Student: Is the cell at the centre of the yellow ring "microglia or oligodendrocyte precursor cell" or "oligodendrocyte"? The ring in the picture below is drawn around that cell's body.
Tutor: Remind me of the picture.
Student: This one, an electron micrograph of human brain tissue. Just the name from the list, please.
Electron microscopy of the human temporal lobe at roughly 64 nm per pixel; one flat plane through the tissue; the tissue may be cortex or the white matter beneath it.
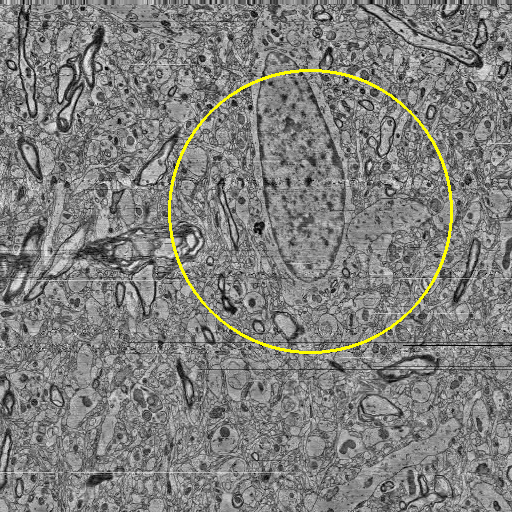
microglia or oligodendrocyte precursor cell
